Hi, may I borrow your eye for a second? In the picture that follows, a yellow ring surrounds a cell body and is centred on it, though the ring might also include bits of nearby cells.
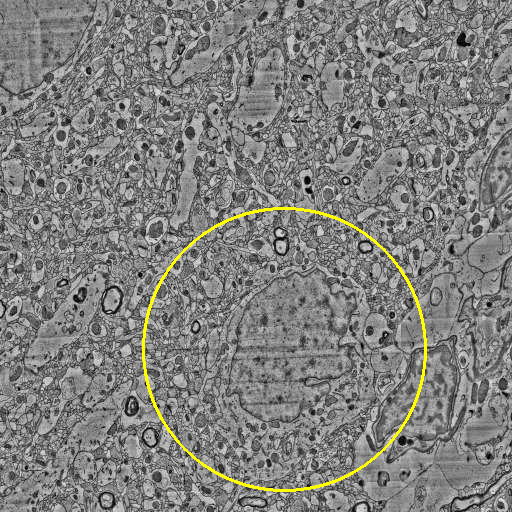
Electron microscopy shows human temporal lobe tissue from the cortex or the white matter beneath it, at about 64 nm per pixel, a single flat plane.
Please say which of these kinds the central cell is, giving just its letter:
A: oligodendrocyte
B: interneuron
B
